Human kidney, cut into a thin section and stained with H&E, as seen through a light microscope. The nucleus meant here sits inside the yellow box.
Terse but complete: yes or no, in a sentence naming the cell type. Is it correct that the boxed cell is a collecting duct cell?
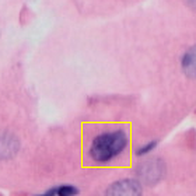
No, rather than a collecting duct cell, the boxed cell is a proximal tubule cell.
